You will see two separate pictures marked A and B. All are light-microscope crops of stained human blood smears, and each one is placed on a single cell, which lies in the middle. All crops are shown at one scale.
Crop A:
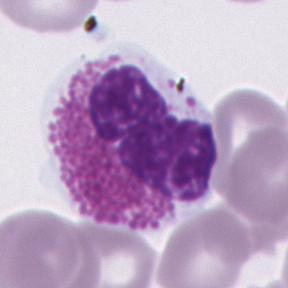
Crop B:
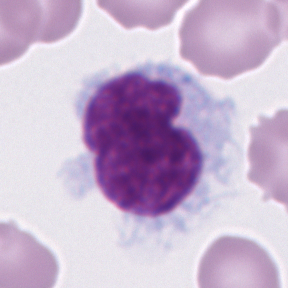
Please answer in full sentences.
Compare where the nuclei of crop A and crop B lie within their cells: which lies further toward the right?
It is the nucleus in crop A that lies further toward the right of its cell.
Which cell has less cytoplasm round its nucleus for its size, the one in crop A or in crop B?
Of the two, the nucleus in crop B makes up the greater part of its cell.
